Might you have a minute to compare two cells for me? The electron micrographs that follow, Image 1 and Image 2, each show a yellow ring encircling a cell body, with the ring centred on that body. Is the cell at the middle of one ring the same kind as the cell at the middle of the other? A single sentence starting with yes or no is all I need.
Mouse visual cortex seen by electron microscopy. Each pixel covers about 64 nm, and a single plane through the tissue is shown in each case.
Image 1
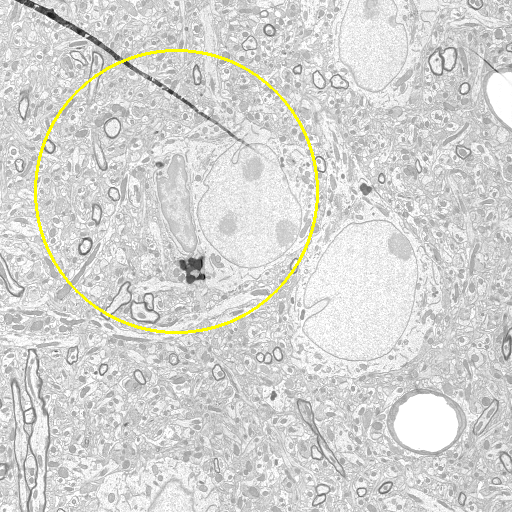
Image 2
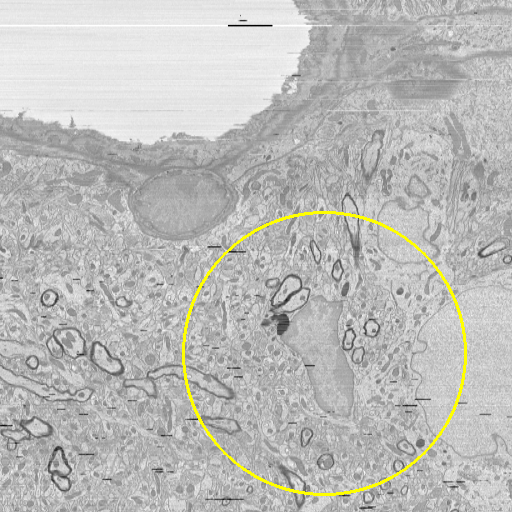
Yes, the cells in the middle of the two rings are of one shared kind.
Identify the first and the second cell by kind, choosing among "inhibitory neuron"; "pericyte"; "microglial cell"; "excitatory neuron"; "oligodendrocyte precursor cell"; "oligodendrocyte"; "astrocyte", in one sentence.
Each of the ringed cells, first and second, is a microglial cell.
